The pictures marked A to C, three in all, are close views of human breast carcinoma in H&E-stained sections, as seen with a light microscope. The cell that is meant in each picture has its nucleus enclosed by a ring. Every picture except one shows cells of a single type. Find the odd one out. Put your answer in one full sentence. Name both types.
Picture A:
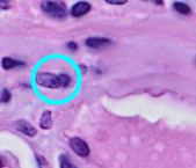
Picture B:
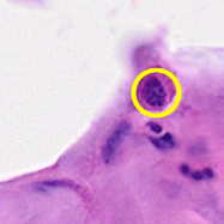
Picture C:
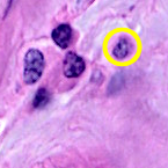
Picture A is the odd one out: it shows a lymphocyte, while the others show mast cells.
